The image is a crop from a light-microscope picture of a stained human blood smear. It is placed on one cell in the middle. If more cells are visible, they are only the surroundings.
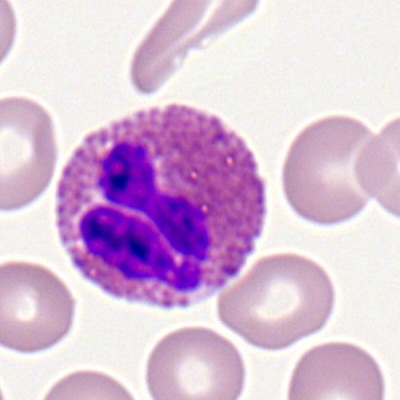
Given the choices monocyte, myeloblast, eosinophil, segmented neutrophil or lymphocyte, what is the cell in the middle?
eosinophil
